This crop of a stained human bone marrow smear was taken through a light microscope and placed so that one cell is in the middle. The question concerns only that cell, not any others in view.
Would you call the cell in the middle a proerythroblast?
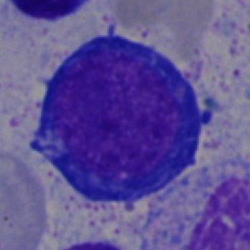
yes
